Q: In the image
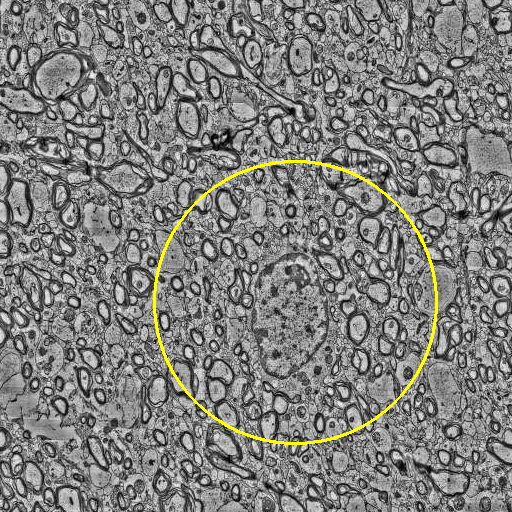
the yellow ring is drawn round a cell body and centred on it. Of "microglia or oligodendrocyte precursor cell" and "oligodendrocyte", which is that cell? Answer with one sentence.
The cell centred in the ring is an oligodendrocyte.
